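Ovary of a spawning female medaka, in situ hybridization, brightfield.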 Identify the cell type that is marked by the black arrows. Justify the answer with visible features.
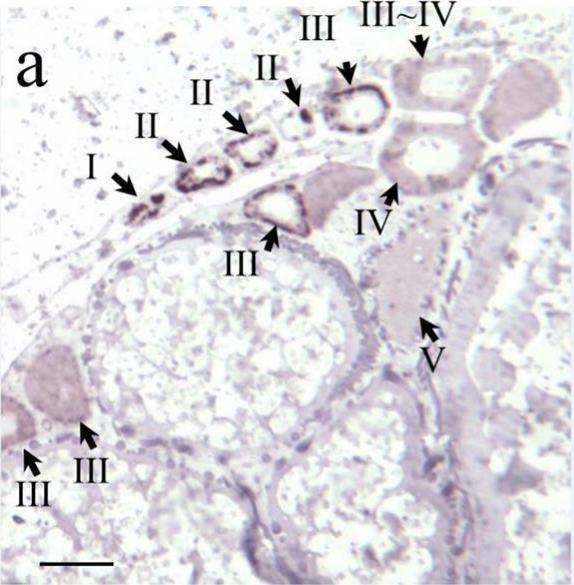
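The larger of these cells have a broad cytoplasm around the central nucleus. Much larger rounded cells with vacuolated cytoplasm lie nearby. On this evidence: oocytes.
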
